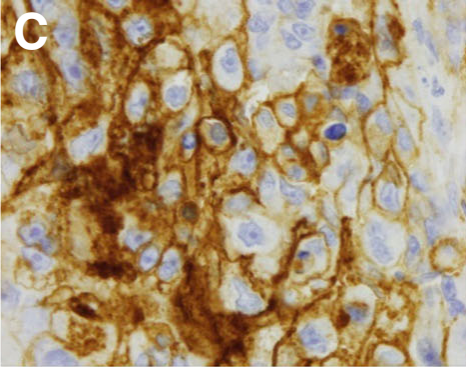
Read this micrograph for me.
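These are large cancer cells with big, pale blue, oval to irregular nuclei. Strong brown stain outlines the cell borders of most of the cells, and in places it fills the cytoplasm in dense brown patches.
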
